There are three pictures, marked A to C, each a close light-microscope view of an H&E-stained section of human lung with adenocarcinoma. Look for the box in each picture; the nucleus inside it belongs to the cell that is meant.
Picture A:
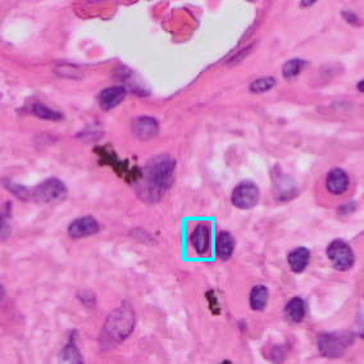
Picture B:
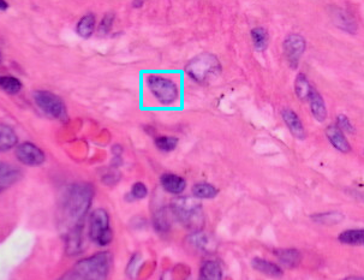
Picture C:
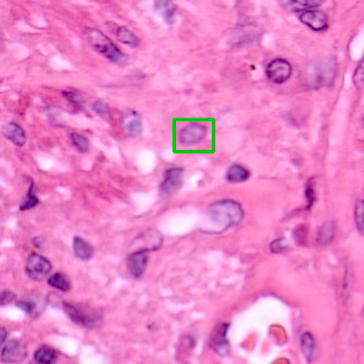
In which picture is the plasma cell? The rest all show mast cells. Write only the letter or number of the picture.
A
